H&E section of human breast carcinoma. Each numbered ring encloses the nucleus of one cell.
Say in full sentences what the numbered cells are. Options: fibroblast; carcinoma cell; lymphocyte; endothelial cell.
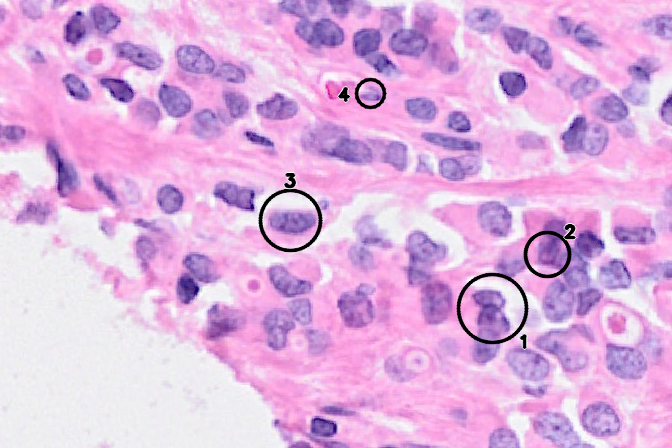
Cells 1, 2 and 3 are carcinoma cells. Cell 4 is an endothelial cell.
